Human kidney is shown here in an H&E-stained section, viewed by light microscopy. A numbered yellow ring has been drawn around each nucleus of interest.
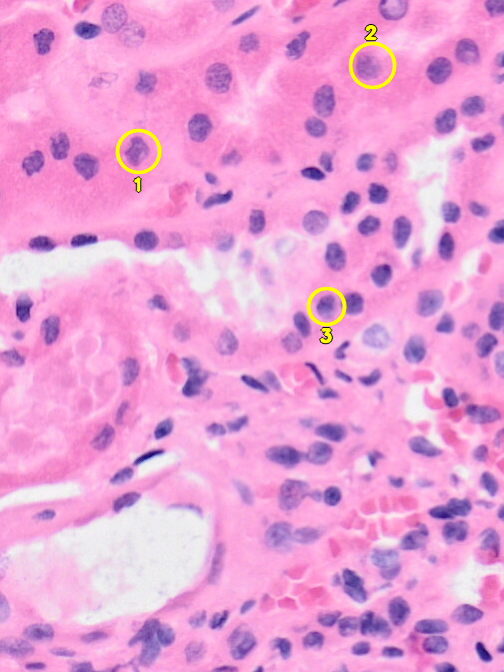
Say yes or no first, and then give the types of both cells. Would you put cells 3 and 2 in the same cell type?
No, cell 3 is recognized as a loop of Henle or distal tubule cell, and cell 2 as a proximal tubule cell.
